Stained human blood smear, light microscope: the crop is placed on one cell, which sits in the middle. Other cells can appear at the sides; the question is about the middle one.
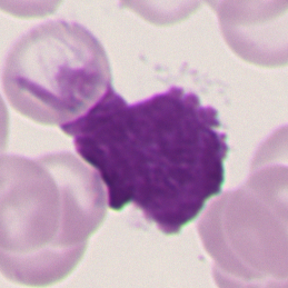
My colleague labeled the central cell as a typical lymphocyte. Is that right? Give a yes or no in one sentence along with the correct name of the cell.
No, the central cell is designated a smudge cell and not a typical lymphocyte.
